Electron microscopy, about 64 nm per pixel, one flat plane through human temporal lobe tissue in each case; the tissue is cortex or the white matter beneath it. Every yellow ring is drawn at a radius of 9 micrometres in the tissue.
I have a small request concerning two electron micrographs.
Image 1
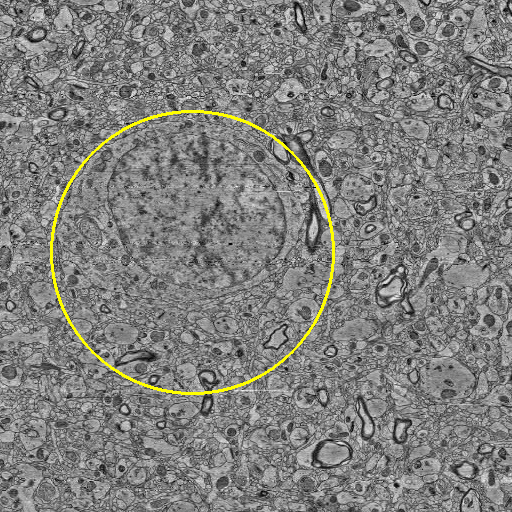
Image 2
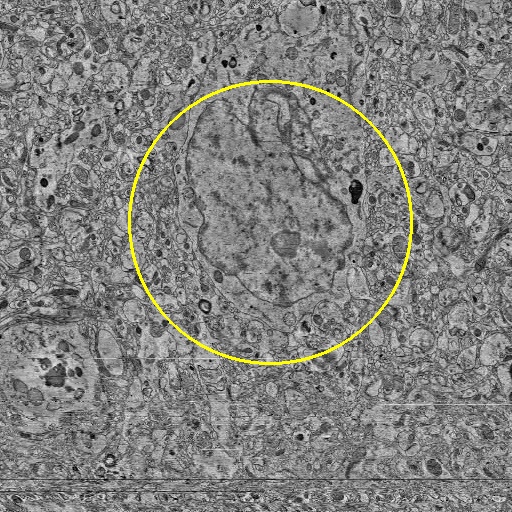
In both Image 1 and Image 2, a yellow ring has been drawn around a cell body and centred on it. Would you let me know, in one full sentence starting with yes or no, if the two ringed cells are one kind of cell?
Yes, the cells ringed in Image 1 and Image 2 are one kind of cell.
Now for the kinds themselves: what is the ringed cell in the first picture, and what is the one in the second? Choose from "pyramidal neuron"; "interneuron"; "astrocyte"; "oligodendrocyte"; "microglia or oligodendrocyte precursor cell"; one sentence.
Each of the ringed cells, first and second, is an interneuron.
